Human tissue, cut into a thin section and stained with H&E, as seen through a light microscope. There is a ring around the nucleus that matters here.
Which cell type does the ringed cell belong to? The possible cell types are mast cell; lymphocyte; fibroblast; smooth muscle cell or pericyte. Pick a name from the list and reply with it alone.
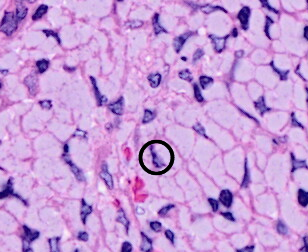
fibroblast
